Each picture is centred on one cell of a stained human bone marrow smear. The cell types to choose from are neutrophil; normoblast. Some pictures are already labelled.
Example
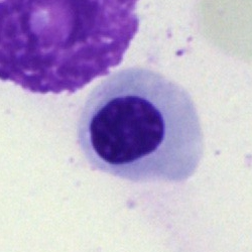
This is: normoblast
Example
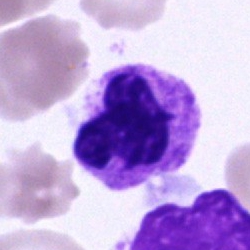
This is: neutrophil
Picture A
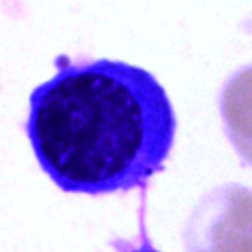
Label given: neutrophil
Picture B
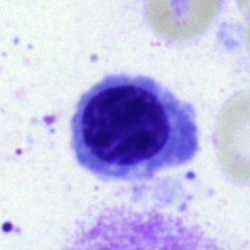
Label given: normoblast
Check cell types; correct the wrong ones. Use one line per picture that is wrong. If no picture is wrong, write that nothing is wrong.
A should be normoblast, not neutrophil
